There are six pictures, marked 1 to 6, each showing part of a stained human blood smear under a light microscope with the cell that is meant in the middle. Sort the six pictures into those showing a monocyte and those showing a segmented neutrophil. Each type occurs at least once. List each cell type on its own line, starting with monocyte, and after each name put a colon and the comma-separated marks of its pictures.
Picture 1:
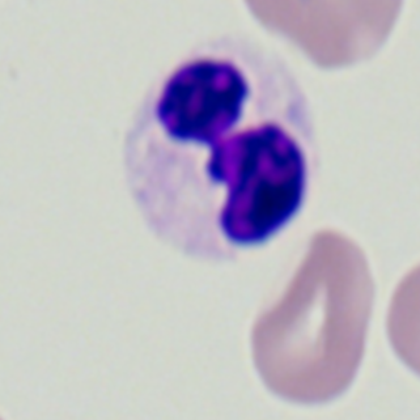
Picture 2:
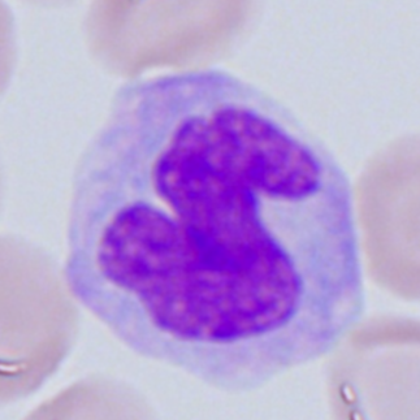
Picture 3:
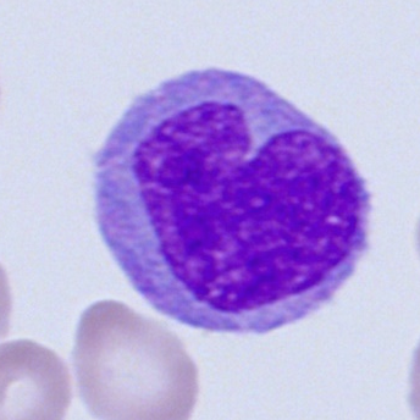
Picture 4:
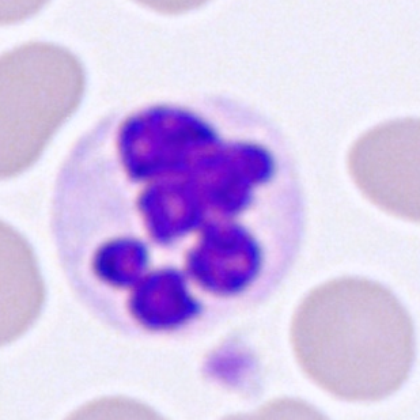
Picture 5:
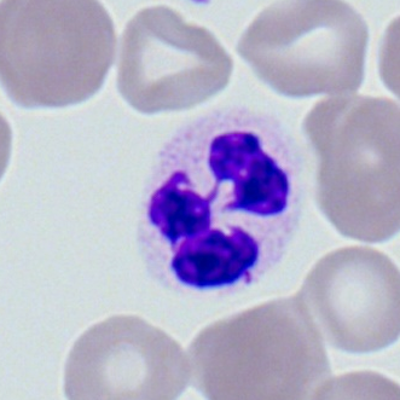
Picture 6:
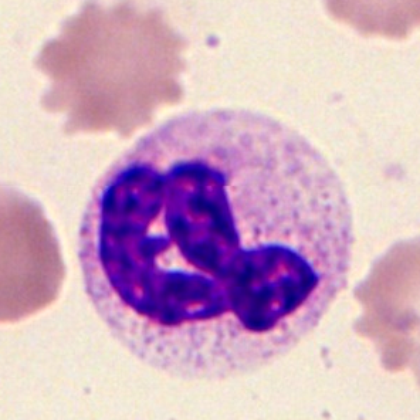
monocyte: 2, 3
segmented neutrophil: 1, 4, 5, 6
